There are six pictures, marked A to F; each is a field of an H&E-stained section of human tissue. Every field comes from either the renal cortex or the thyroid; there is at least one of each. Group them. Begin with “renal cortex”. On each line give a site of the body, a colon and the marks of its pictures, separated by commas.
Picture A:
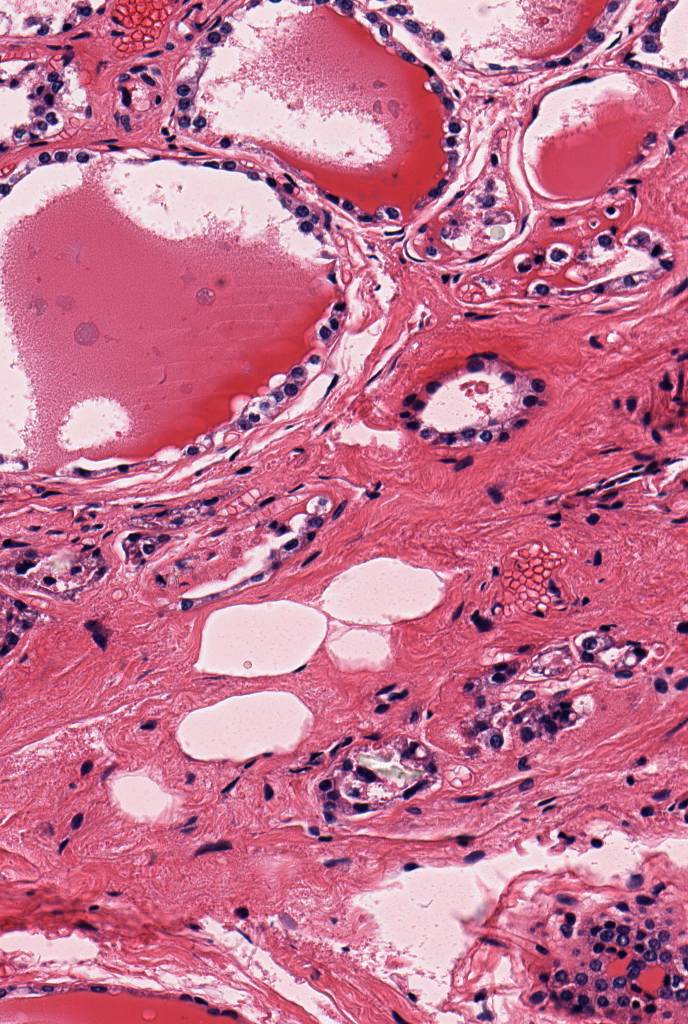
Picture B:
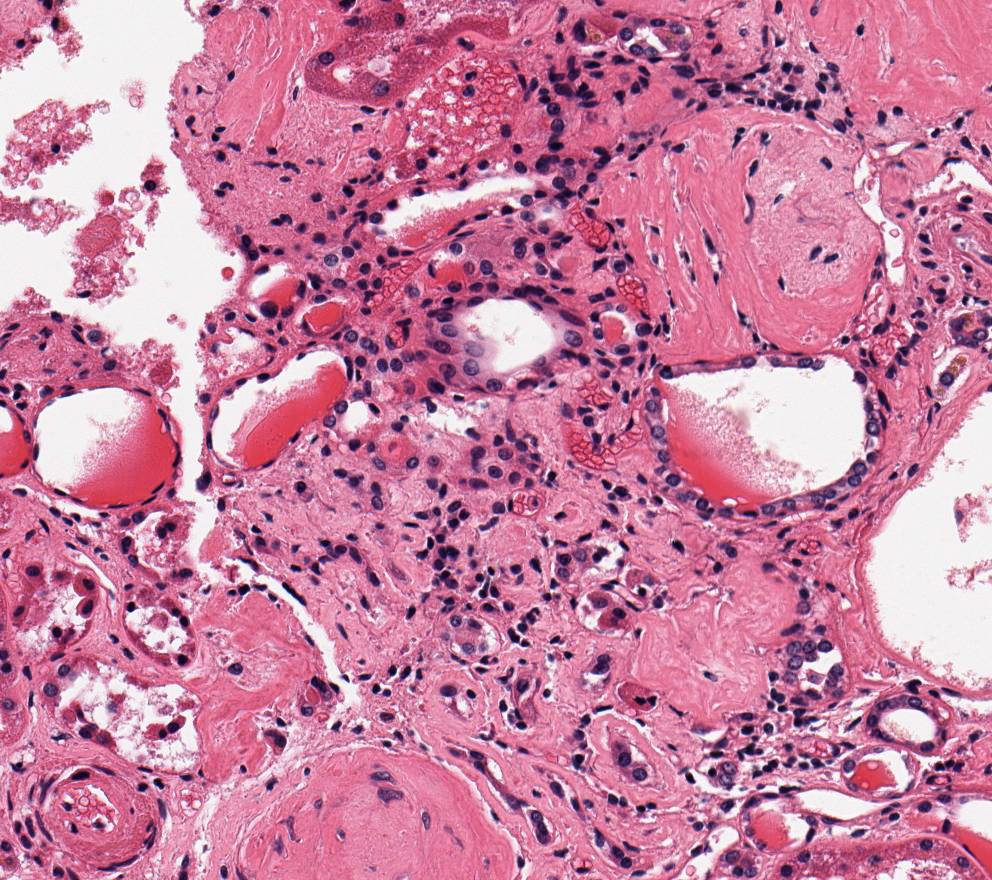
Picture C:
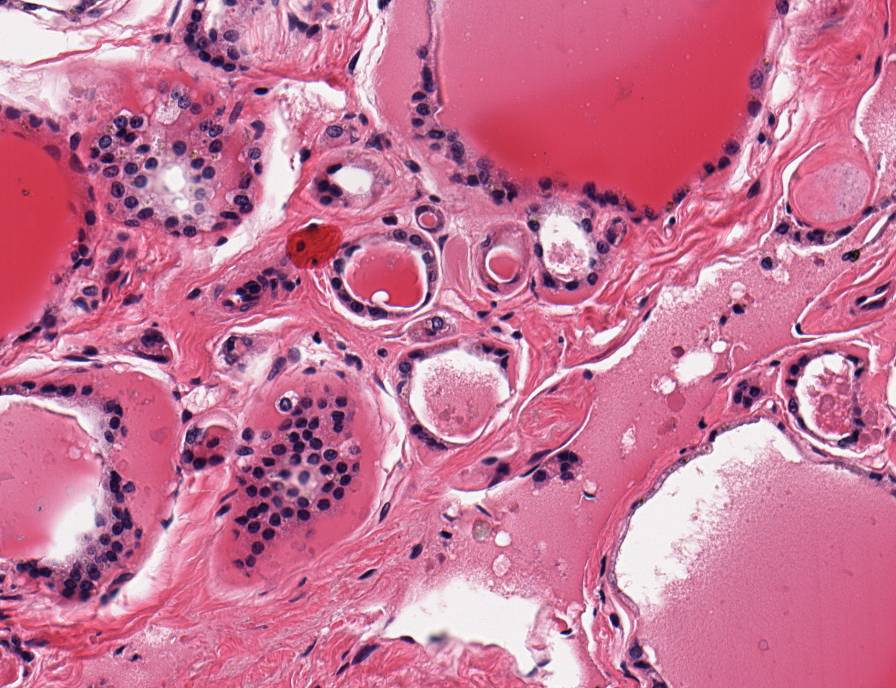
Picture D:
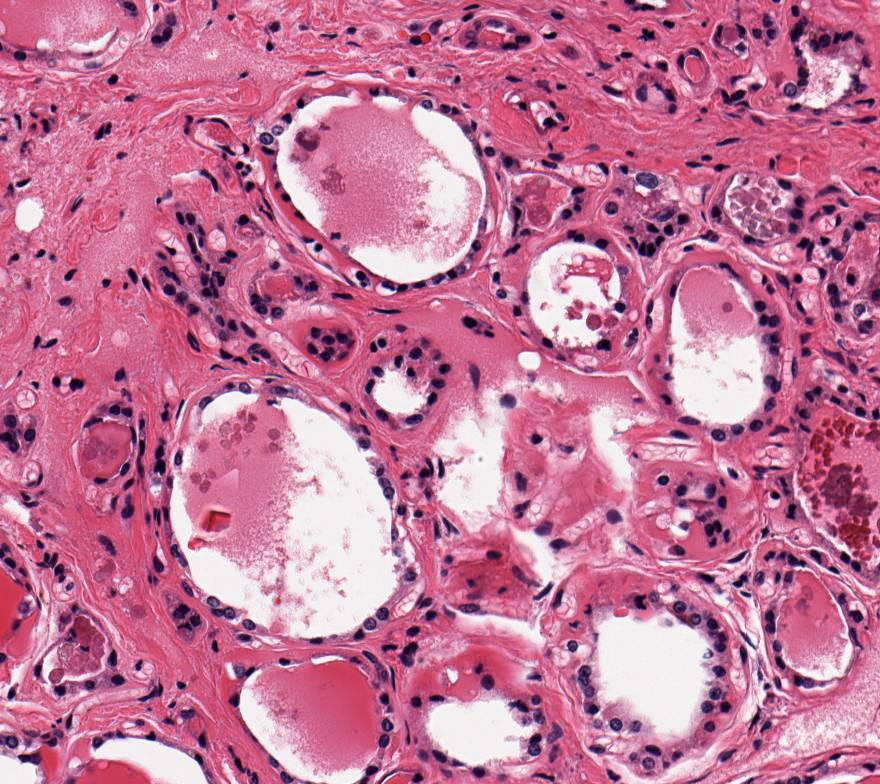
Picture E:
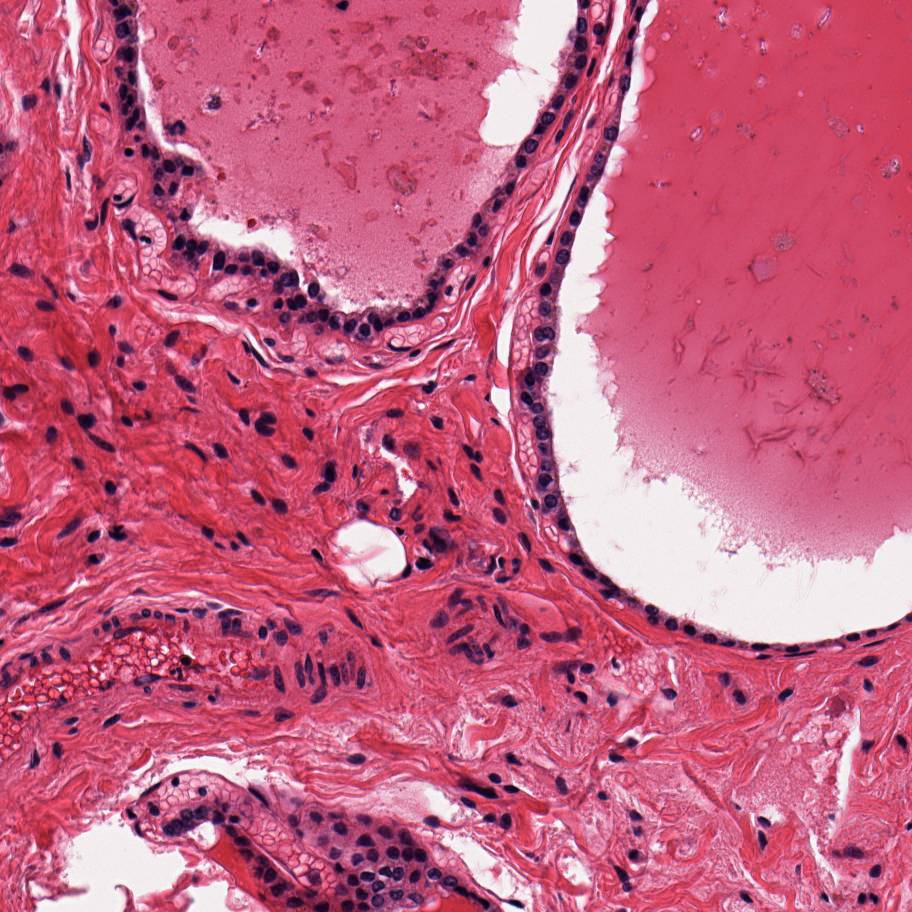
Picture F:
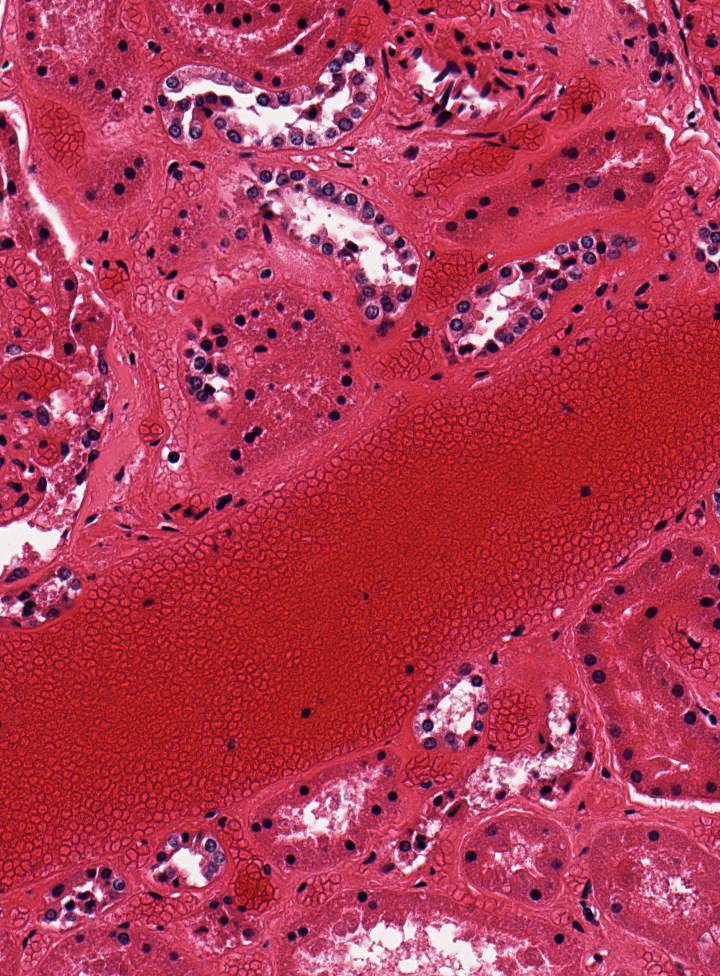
renal cortex: B, F
thyroid: A, C, D, E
